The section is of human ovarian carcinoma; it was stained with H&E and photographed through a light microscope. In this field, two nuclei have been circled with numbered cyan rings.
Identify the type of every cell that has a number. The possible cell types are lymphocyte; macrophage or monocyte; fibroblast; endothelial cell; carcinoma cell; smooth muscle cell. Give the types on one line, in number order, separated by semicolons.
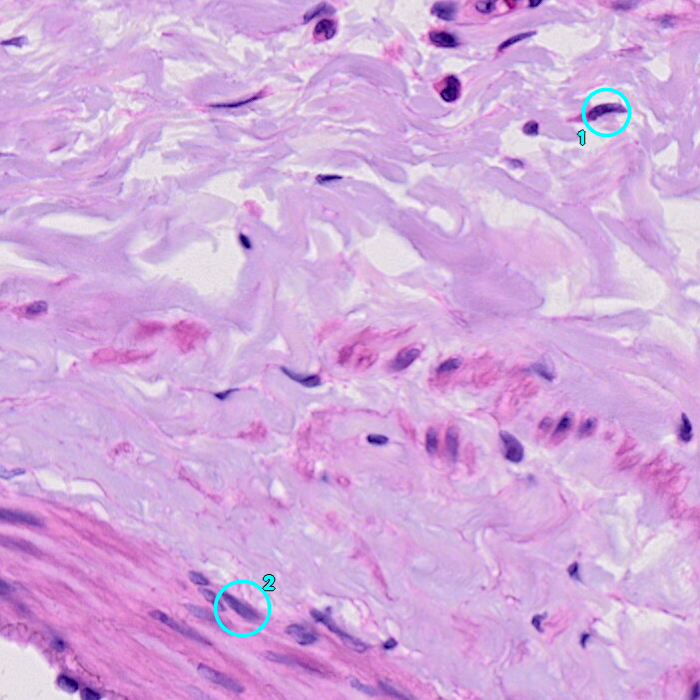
fibroblast; smooth muscle cell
